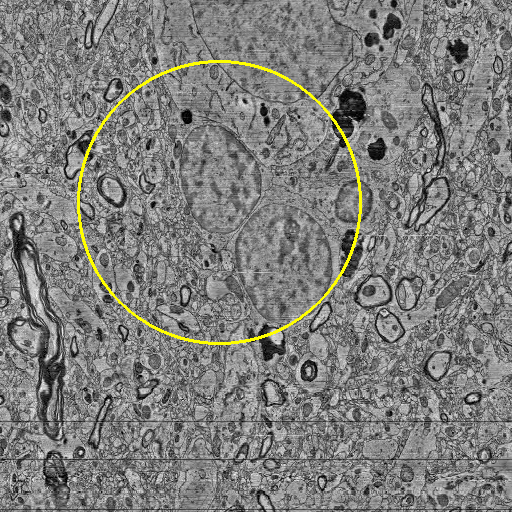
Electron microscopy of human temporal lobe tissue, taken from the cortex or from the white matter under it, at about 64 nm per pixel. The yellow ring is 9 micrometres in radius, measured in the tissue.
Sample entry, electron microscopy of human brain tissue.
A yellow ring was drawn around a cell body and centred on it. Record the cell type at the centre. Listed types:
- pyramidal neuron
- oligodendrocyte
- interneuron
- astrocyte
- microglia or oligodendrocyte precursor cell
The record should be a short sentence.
The cell at the ring's centre is an oligodendrocyte.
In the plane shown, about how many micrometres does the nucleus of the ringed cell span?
In this plane, roughly 7 by 5 micrometres.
